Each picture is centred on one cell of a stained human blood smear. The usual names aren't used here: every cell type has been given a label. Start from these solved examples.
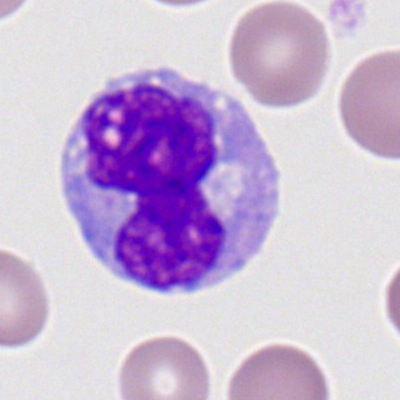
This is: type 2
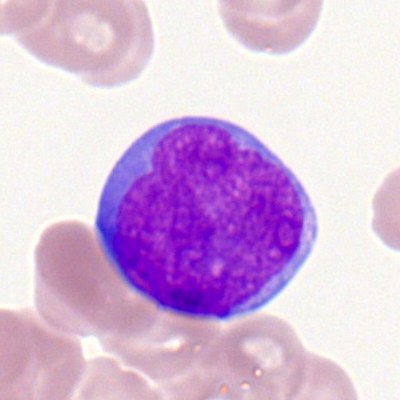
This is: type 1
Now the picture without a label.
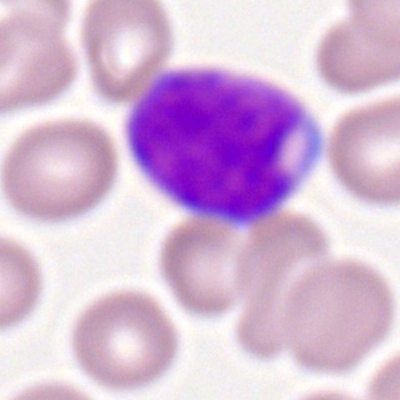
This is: type 1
